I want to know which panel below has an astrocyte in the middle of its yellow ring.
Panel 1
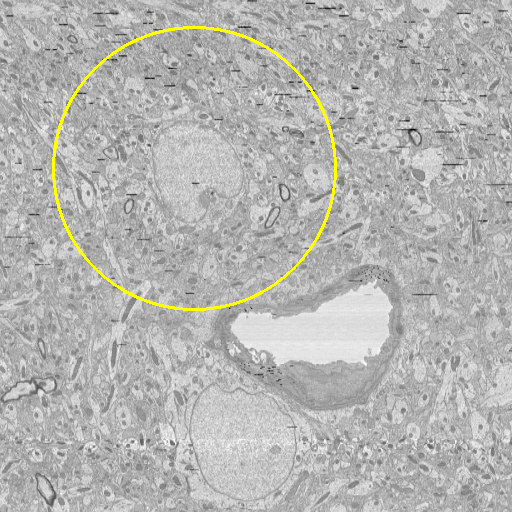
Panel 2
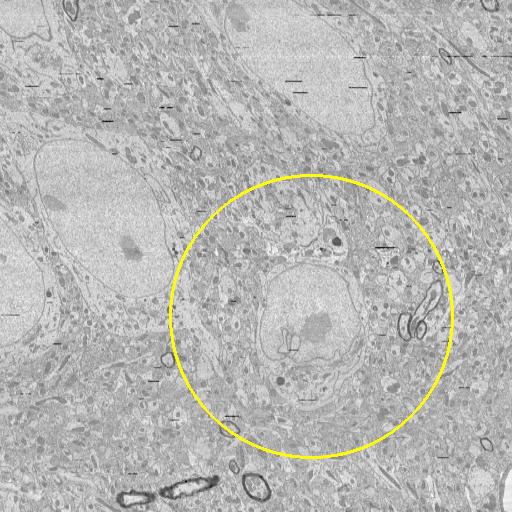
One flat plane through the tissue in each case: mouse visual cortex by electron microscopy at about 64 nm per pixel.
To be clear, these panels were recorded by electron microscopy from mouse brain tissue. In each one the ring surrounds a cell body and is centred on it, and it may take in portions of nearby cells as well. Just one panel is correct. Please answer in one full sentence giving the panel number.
Panel 1 has the requested cell sitting at the centre of its ring.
